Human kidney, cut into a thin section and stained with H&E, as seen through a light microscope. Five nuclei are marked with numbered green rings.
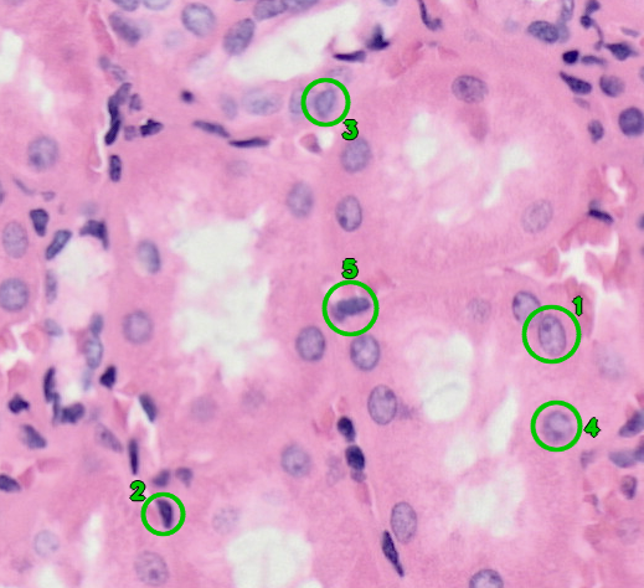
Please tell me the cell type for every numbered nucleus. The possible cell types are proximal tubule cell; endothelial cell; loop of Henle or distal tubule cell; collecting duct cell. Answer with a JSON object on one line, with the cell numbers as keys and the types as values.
{"1": "proximal tubule cell", "2": "endothelial cell", "3": "collecting duct cell", "4": "proximal tubule cell", "5": "endothelial cell"}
